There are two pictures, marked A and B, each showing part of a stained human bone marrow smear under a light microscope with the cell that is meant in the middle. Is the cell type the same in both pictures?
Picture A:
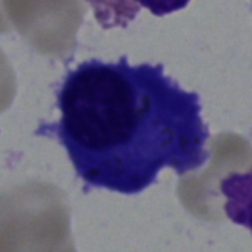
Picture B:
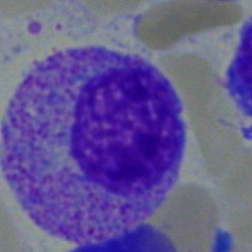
no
